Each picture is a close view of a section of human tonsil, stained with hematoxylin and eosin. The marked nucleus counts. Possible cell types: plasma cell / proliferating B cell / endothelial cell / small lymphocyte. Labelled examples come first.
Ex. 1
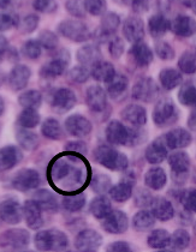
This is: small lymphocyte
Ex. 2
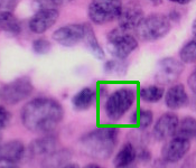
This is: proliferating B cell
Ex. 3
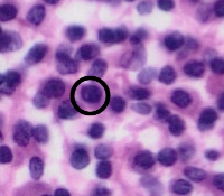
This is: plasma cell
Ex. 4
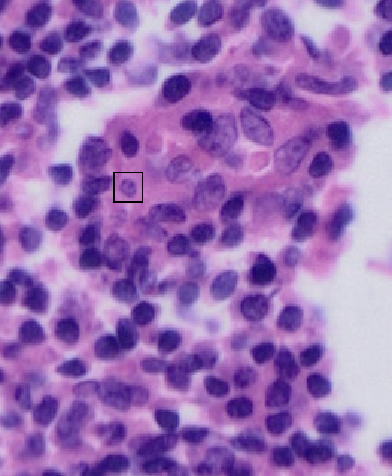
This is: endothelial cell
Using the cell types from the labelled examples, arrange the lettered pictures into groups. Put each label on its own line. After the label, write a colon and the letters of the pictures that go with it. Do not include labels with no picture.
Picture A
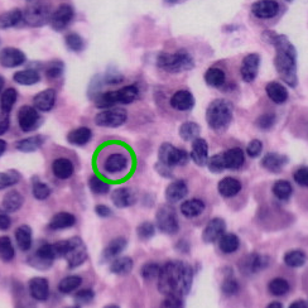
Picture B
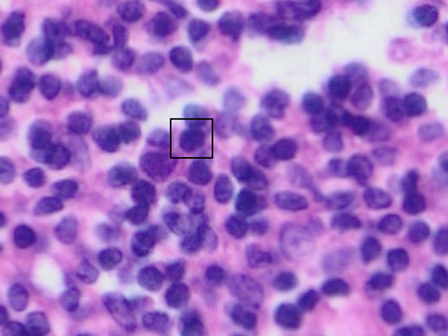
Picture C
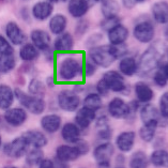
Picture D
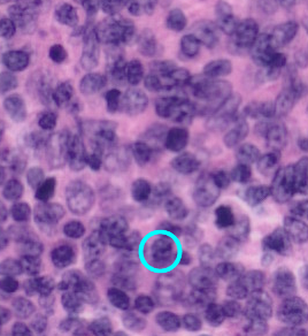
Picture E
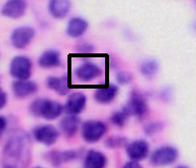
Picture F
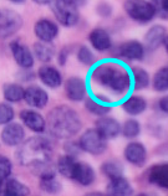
plasma cell: A
proliferating B cell: D
small lymphocyte: B, C, E, F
